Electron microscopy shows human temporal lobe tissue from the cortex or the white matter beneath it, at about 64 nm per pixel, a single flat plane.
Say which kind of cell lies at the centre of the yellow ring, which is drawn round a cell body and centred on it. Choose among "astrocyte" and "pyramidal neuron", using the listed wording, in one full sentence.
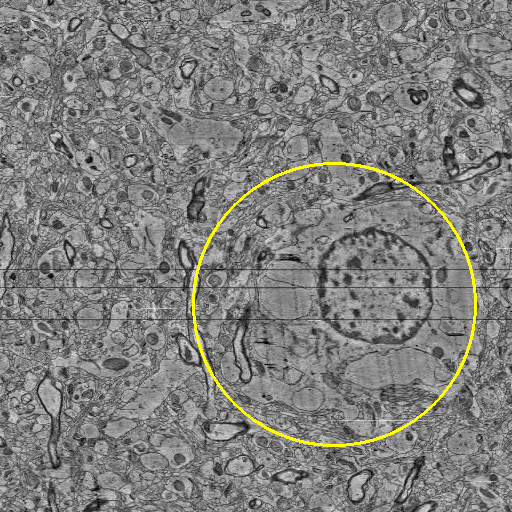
Going by the list, the cell at the yellow ring's centre is an astrocyte.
